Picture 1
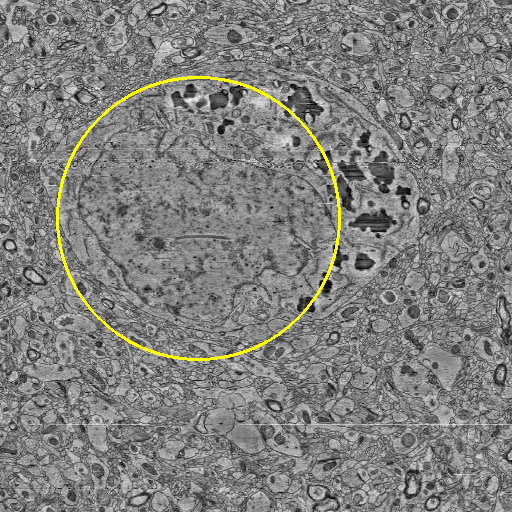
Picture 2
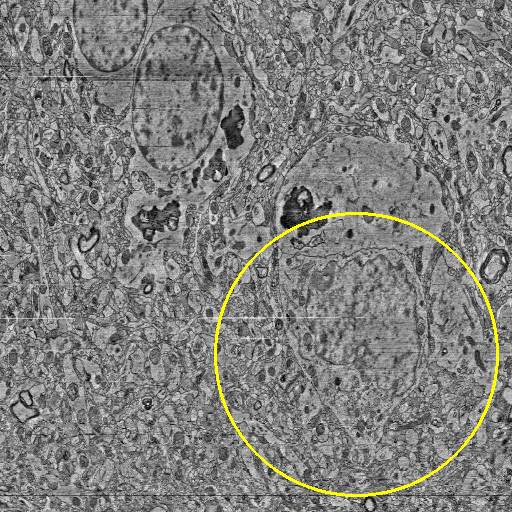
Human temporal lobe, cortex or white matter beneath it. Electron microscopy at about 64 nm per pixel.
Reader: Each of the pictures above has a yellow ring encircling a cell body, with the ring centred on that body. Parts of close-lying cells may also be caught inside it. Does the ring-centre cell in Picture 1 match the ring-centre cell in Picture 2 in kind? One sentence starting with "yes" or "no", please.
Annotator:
Yes, Picture 1 and Picture 2 show ring-centre cells of a single kind.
